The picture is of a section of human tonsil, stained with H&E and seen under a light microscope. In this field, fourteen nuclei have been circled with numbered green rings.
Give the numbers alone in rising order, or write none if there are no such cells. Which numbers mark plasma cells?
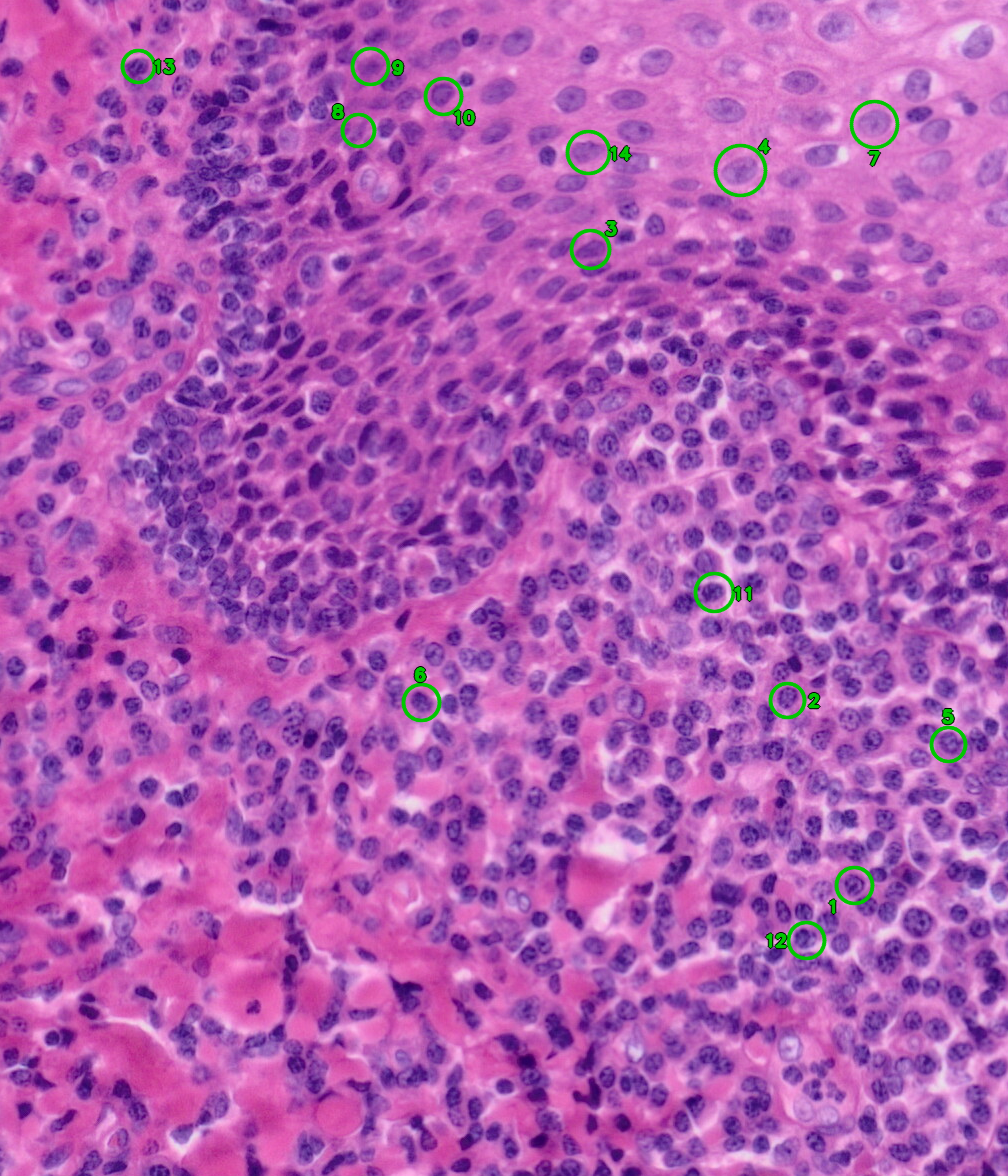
1, 2, 5, 6, 11, 12, 13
